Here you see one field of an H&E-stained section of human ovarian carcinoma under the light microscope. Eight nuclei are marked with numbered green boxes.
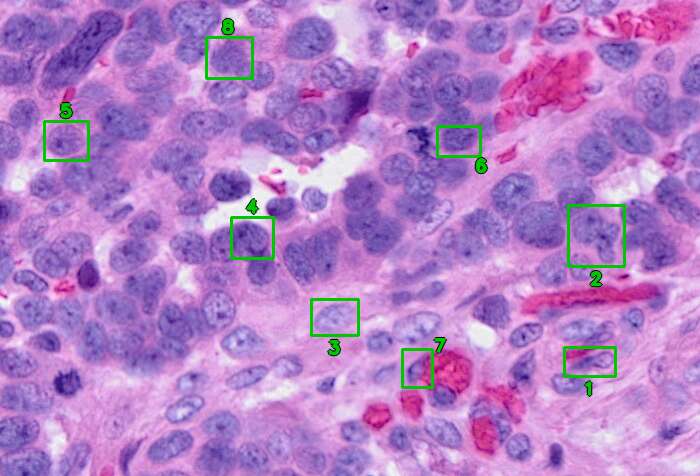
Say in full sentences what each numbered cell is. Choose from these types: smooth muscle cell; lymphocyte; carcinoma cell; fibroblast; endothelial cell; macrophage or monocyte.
Cells 1 and 7 are endothelial cells. Cells 2, 4, 5, 6 and 8 are carcinoma cells. Cell 3 is a fibroblast.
